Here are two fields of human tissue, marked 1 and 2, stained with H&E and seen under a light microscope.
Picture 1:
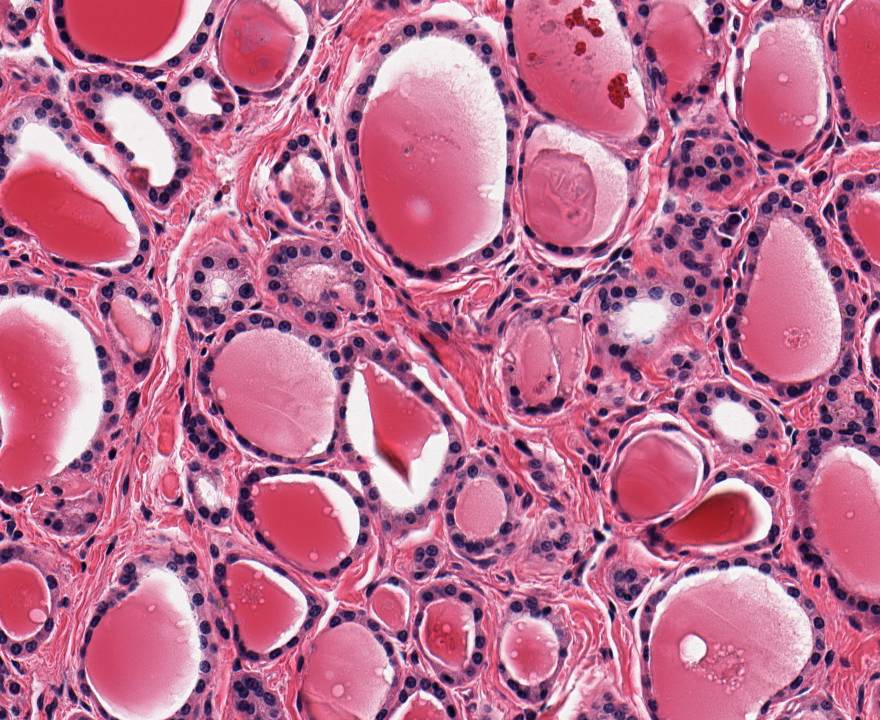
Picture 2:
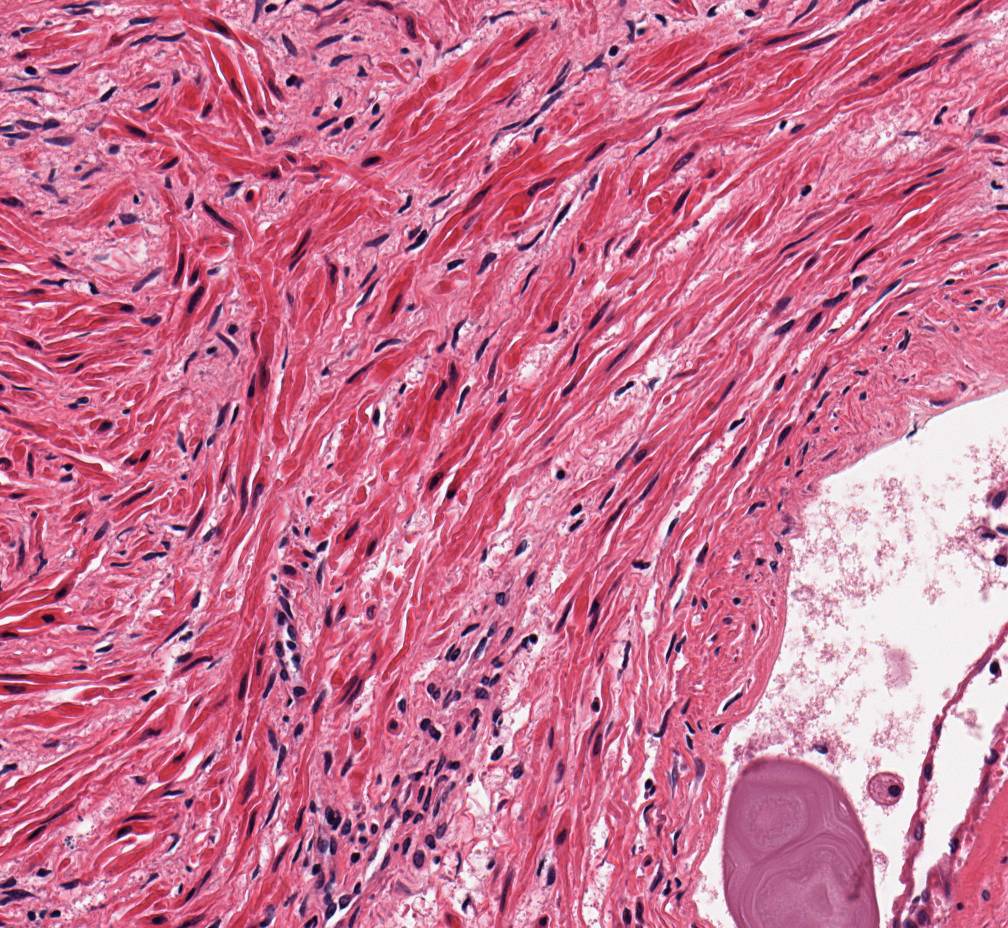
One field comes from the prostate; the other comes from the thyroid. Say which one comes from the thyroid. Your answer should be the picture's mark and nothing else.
1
